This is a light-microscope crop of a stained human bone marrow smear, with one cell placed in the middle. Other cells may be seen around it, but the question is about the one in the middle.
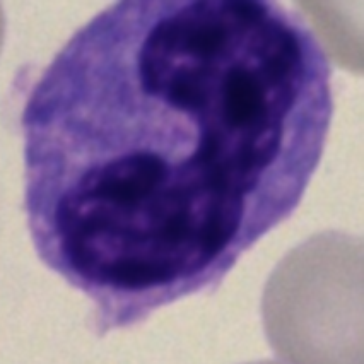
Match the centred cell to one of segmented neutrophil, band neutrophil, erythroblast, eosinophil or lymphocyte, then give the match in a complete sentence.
The middle of this crop is occupied by a band neutrophil.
